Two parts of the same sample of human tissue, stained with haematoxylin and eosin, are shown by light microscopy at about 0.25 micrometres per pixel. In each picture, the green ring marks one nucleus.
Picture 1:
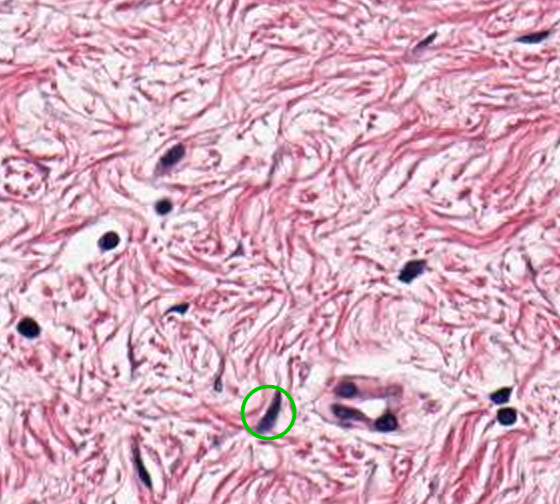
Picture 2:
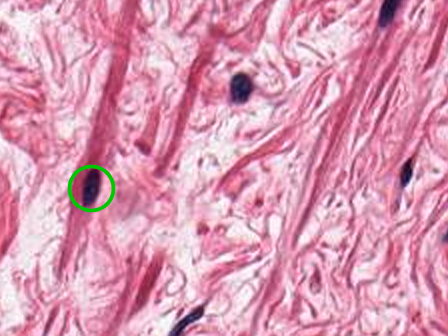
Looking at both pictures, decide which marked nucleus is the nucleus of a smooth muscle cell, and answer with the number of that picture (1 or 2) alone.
2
